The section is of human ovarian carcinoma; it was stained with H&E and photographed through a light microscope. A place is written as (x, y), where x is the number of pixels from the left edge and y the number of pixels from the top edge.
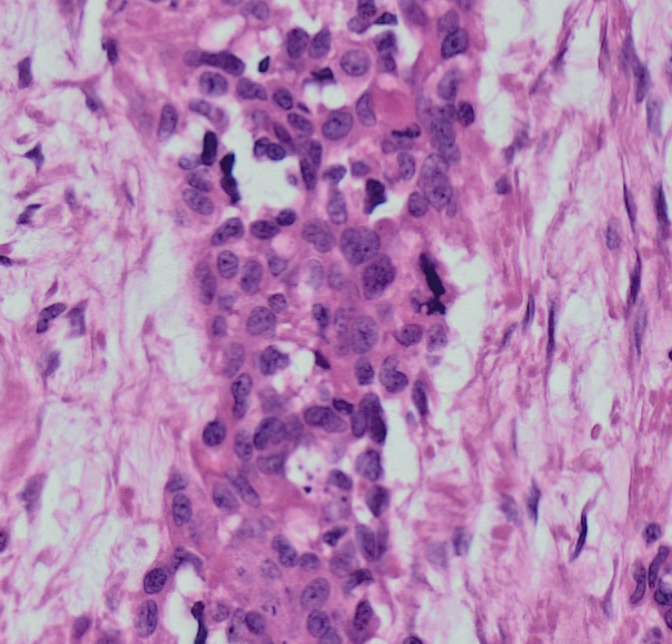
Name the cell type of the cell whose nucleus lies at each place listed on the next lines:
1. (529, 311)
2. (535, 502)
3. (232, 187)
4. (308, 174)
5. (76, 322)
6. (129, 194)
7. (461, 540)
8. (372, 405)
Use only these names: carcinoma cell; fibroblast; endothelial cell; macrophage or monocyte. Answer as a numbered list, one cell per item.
1. fibroblast
2. fibroblast
3. carcinoma cell
4. carcinoma cell
5. fibroblast
6. fibroblast
7. fibroblast
8. carcinoma cell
